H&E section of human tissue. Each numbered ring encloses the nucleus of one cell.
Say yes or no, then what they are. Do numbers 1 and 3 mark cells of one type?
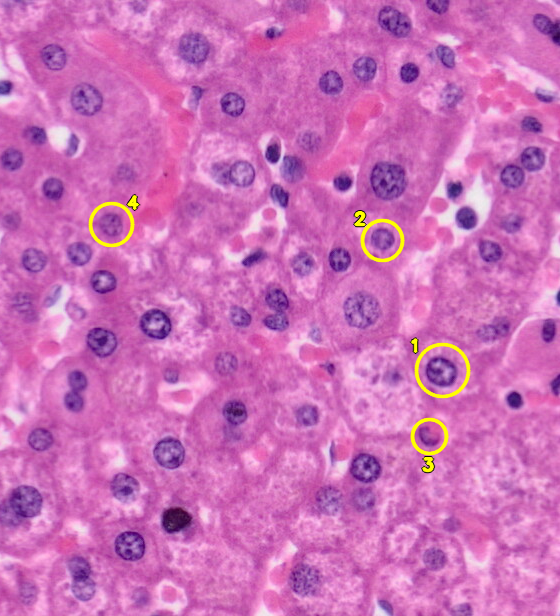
No, that does not hold; cell 1 is a hepatocyte and cell 3 is an endothelial cell.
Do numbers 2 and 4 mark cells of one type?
Yes, and to be precise, cells 2 and 4 are both hepatocytes.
